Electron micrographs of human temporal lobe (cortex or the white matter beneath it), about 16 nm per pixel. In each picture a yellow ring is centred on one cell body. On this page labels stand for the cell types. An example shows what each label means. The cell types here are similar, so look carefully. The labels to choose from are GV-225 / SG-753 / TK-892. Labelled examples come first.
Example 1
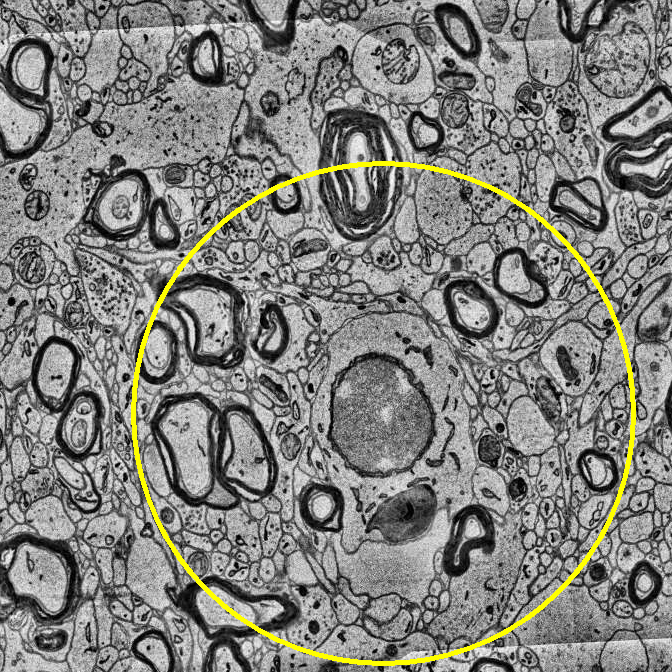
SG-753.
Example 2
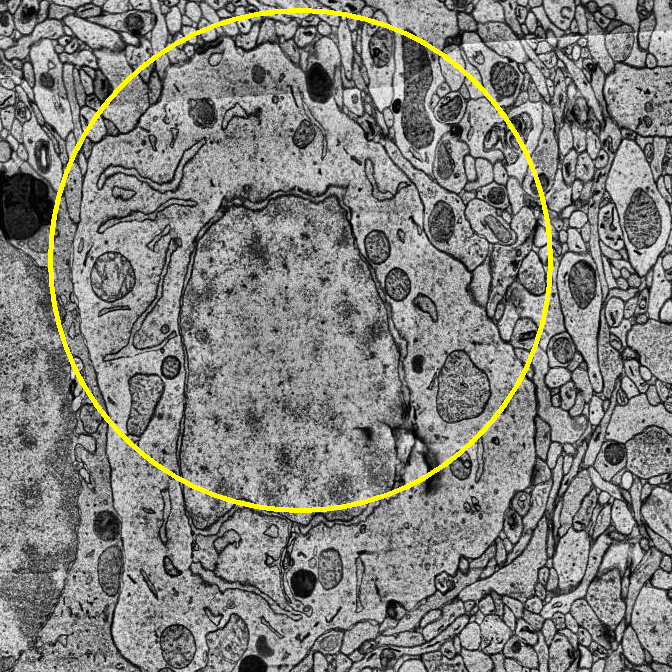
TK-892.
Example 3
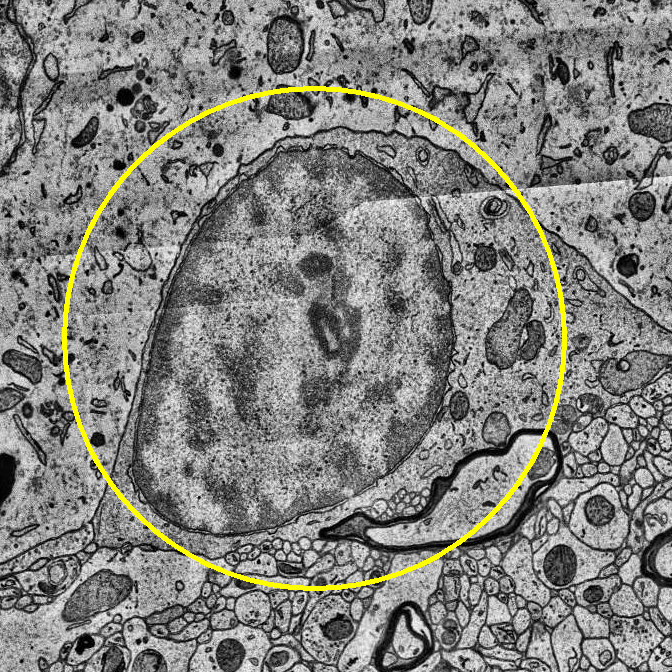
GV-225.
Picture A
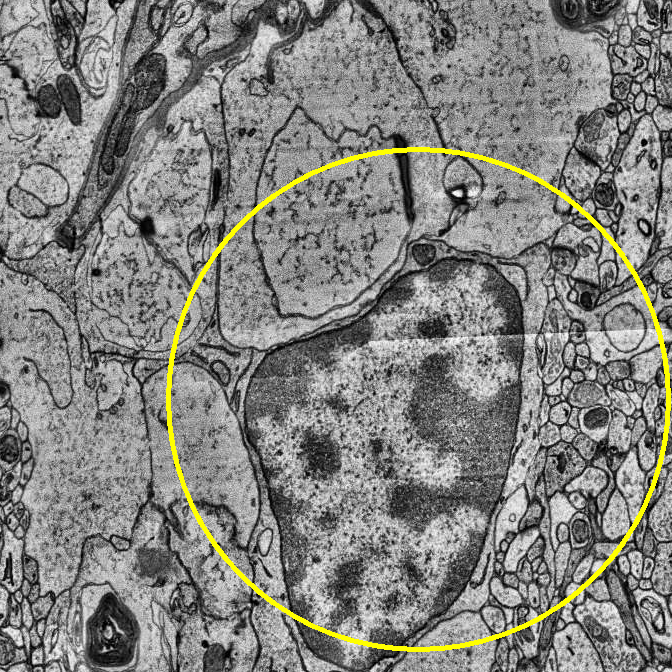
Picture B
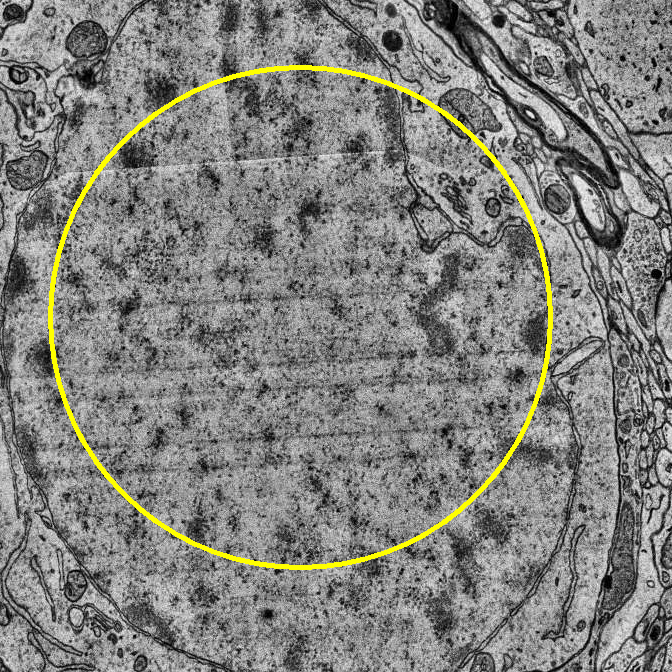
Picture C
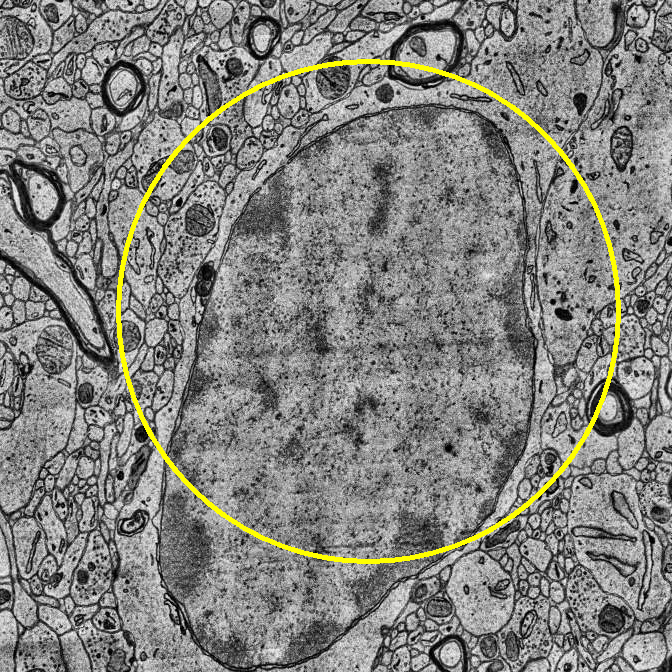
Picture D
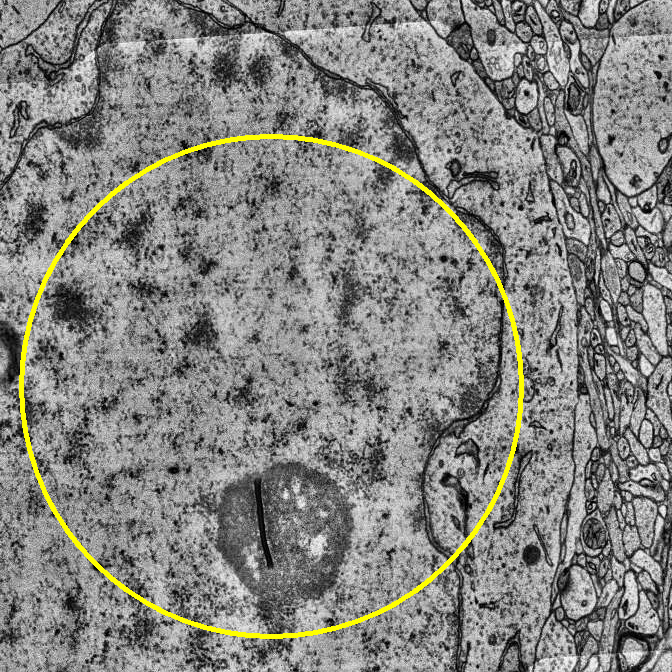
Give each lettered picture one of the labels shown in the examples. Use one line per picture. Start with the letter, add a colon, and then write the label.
A: SG-753.
B: TK-892.
C: SG-753.
D: TK-892.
